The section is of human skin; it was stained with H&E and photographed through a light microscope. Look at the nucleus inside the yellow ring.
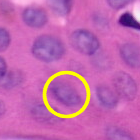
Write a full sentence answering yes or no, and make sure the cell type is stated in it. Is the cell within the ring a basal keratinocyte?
No, the cell within the ring is not a basal keratinocyte but a suprabasal keratinocyte.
